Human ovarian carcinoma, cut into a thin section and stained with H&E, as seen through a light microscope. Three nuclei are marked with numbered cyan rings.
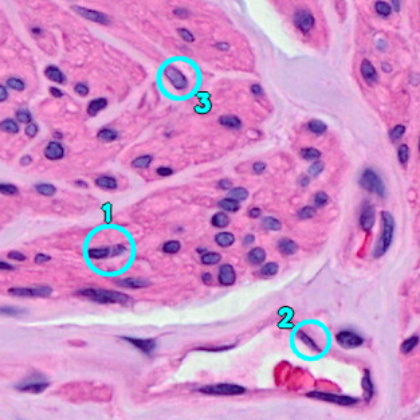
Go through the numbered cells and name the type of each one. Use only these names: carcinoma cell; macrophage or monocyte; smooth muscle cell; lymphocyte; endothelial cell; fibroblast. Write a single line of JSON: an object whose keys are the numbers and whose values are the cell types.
{"1": "smooth muscle cell", "2": "endothelial cell", "3": "smooth muscle cell"}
